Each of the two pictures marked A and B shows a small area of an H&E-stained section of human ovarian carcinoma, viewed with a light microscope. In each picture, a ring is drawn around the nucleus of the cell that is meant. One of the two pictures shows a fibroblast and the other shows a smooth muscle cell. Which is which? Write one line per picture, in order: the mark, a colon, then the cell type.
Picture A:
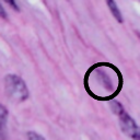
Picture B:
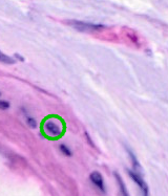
A: fibroblast
B: smooth muscle cell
